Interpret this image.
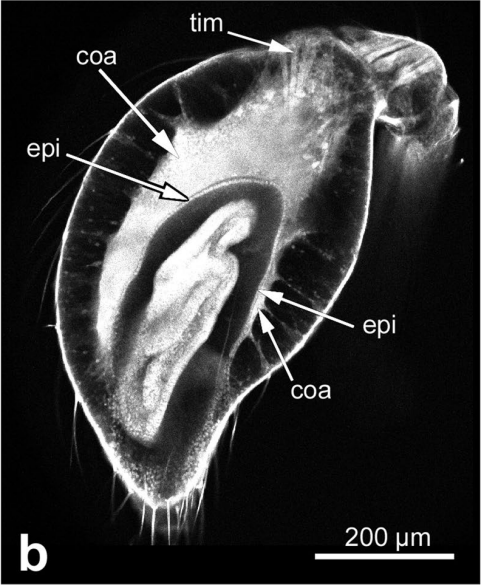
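An optical section through a swollen, club-shaped appendage segment, seen as pale grey structures on black. A thin bright outer wall carries scattered long bristles. Just inside it runs a broad lining layer crossed by many fine radial strands. The centre is filled by a large cloud of bright, grainy material. Embedded in it lies an elongated, folded body with bright, wrinkled interior, wrapped by a smooth darker band of epithelium. Fibrous bundles sit near the top where the club joins the next segment.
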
